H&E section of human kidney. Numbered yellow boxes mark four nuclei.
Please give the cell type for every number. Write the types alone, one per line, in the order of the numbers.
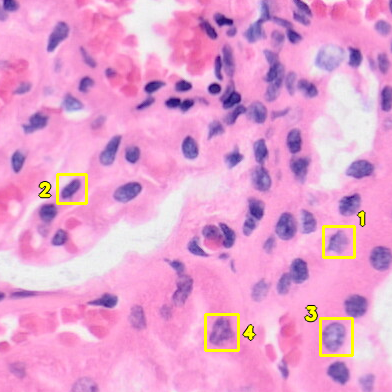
loop of Henle or distal tubule cell
endothelial cell
loop of Henle or distal tubule cell
proximal tubule cell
